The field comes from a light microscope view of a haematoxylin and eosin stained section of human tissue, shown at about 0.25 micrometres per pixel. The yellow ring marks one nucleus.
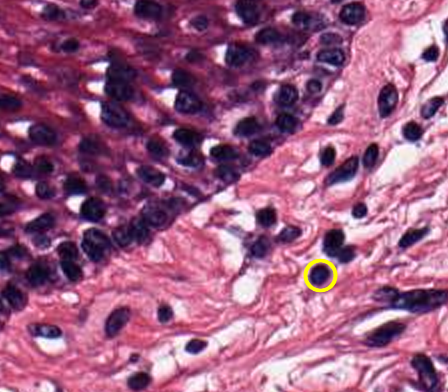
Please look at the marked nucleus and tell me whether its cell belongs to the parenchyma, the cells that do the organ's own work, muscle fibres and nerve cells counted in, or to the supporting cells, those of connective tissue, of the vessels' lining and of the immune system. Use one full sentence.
Among the cells in view, a supporting cell holds the marked nucleus.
